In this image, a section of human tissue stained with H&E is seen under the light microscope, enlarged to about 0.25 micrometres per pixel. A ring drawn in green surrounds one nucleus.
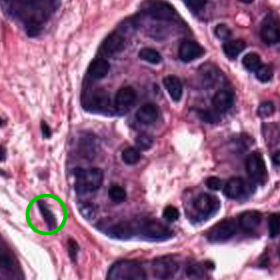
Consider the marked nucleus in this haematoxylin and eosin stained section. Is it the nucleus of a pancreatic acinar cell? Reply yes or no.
no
